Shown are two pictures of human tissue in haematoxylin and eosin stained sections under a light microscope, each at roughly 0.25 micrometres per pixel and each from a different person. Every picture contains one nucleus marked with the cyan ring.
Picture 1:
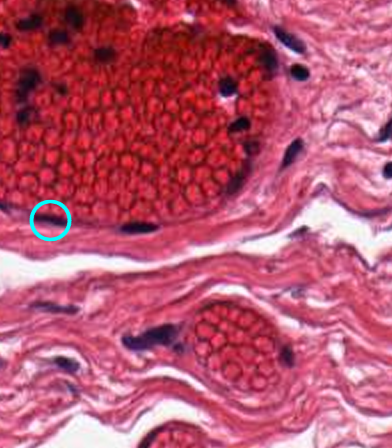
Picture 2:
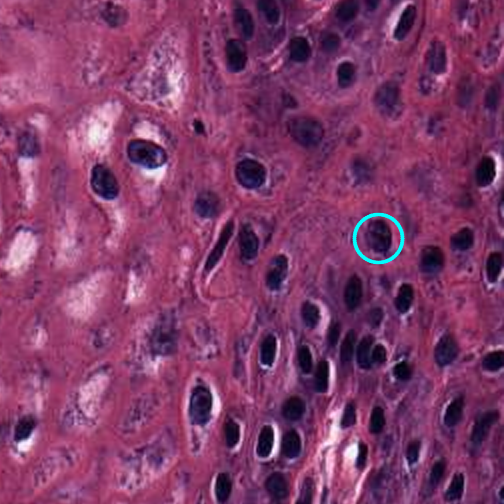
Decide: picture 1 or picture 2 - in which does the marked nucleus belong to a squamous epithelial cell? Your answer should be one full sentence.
Only in picture 2 does the marked nucleus belong to a squamous epithelial cell.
